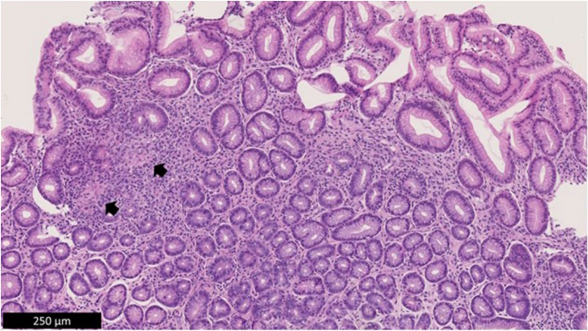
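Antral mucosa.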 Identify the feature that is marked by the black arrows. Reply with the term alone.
Non-necrotic granulomas.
